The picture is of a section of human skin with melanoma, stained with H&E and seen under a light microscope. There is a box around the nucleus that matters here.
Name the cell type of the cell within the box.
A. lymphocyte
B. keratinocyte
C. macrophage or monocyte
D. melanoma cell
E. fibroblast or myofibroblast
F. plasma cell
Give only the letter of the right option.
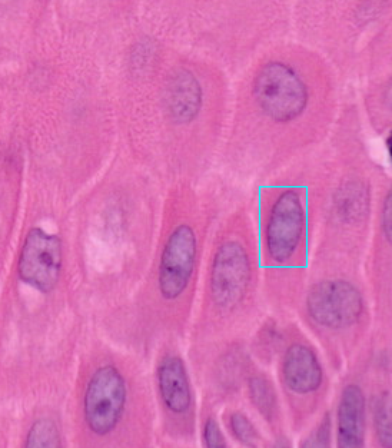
B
